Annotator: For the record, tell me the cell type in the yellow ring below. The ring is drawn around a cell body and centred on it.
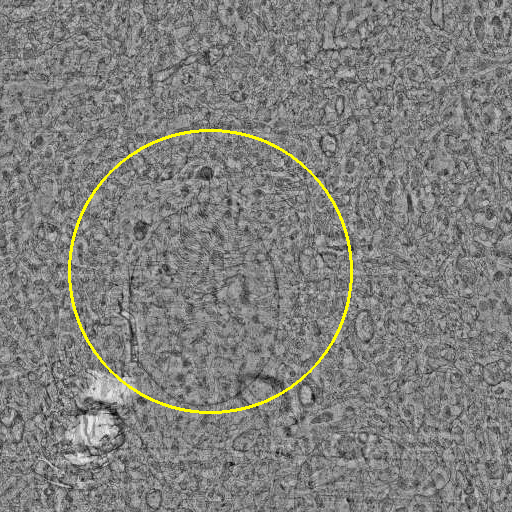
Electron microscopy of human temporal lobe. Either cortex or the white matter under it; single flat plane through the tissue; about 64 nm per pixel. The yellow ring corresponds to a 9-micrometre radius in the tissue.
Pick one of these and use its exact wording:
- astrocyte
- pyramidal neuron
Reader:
pyramidal neuron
